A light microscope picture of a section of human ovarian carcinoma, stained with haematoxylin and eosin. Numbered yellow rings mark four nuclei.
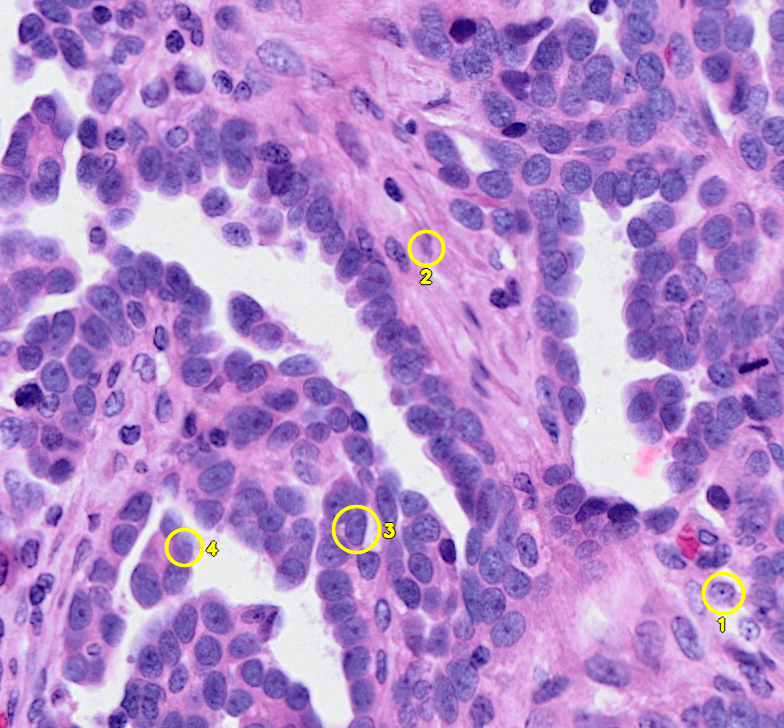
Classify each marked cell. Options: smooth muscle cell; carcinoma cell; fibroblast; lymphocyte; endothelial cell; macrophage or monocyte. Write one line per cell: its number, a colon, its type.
1: macrophage or monocyte
2: fibroblast
3: carcinoma cell
4: carcinoma cell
